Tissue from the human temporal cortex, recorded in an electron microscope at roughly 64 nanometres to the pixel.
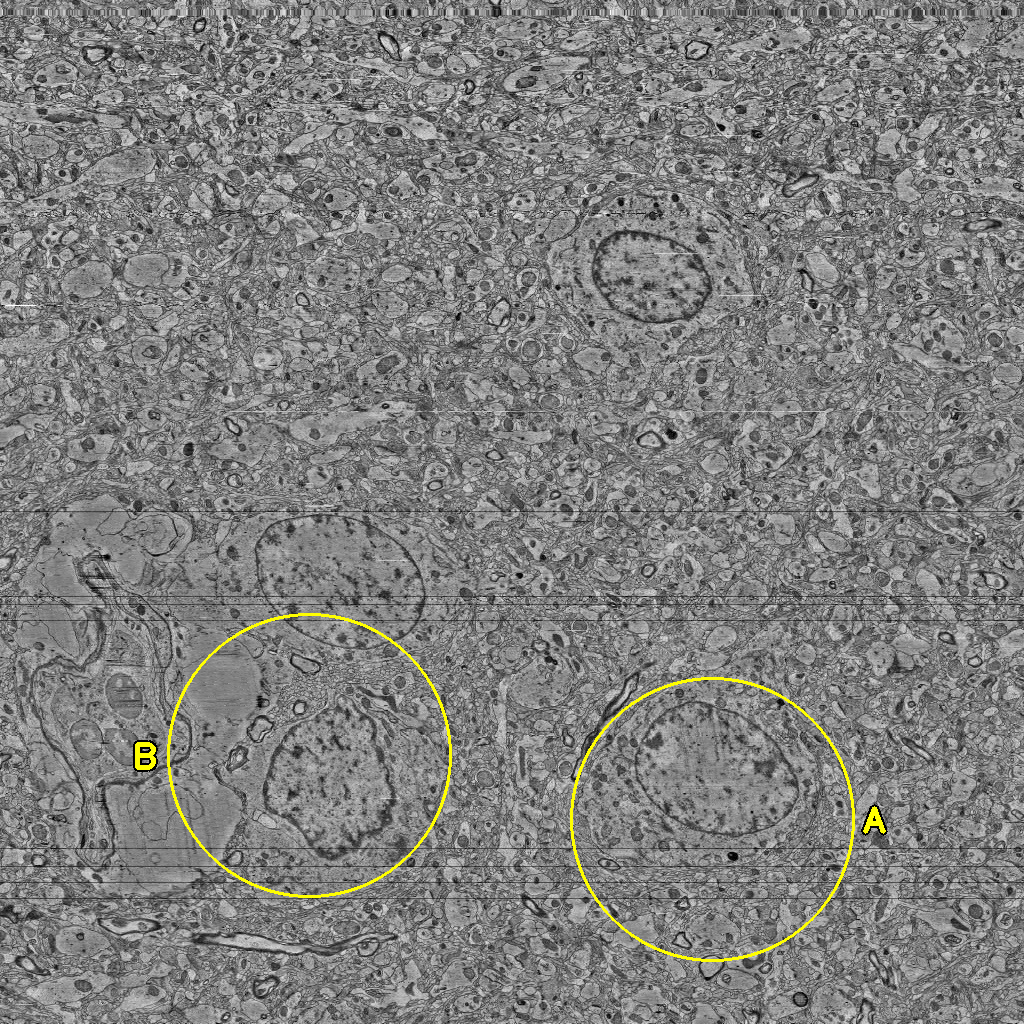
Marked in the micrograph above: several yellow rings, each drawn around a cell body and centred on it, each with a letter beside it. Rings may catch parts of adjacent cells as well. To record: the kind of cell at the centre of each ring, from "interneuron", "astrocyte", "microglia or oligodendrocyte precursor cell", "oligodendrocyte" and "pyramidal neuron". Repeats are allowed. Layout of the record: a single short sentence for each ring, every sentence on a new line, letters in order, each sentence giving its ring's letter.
At the centre of ring A lies a pyramidal neuron.
At the centre of ring B lies a microglial cell or oligodendrocyte precursor cell.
